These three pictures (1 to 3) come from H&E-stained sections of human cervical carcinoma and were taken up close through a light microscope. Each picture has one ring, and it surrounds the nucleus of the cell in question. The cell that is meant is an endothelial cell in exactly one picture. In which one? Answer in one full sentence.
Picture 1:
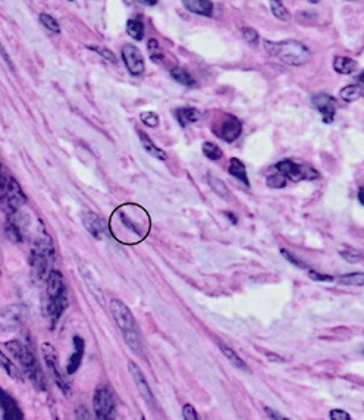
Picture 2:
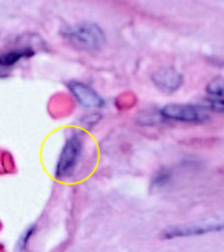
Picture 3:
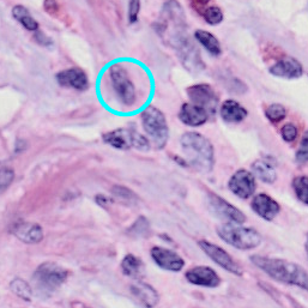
The picture with the endothelial cell is 2.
